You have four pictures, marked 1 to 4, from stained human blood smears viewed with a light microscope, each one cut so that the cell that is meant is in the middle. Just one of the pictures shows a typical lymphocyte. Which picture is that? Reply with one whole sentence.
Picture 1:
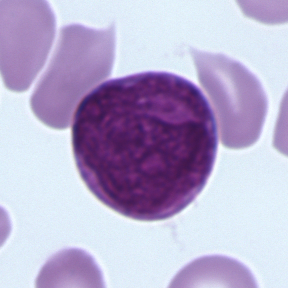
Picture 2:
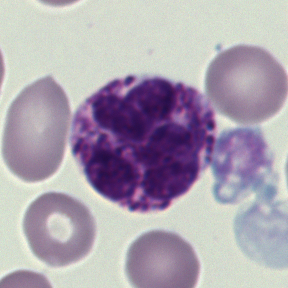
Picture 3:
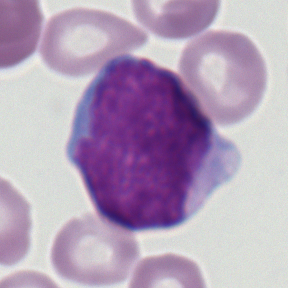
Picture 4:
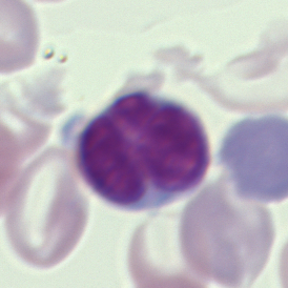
The picture with the typical lymphocyte is 4.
